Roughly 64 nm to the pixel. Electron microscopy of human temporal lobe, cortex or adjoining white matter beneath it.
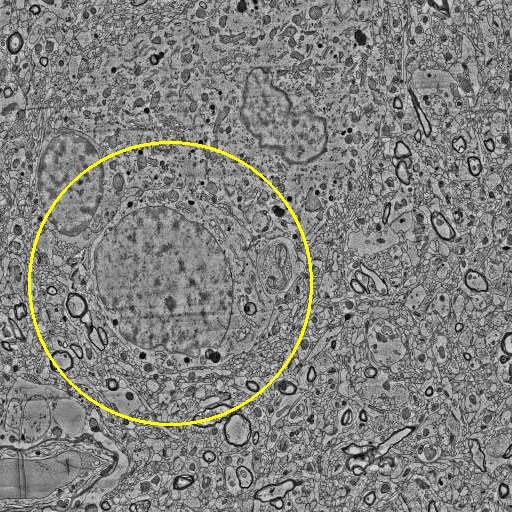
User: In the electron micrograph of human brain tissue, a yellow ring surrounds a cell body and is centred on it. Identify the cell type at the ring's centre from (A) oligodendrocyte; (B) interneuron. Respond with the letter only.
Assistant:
B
